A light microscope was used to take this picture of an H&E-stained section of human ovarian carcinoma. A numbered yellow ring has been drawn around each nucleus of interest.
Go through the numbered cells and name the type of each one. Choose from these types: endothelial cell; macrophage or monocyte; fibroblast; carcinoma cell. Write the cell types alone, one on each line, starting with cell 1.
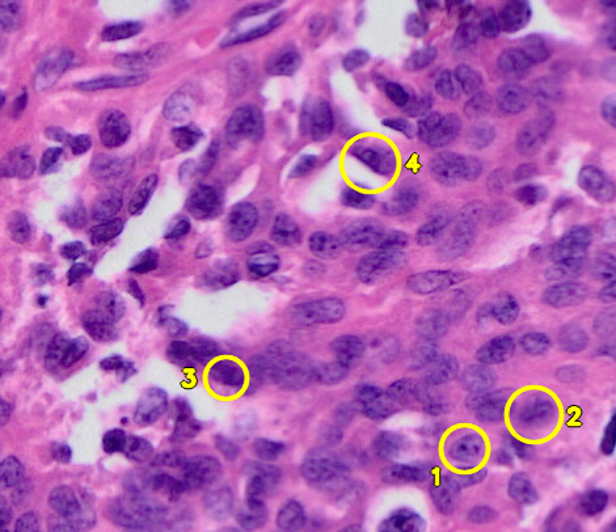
macrophage or monocyte
carcinoma cell
carcinoma cell
carcinoma cell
